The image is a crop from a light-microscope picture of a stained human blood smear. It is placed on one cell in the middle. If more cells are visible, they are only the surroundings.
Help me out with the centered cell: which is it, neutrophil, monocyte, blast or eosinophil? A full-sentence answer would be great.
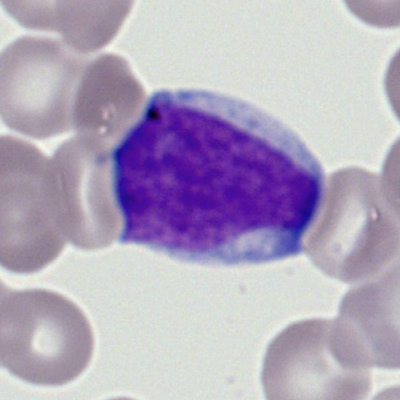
The central cell shown in this smear crop is a blast.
